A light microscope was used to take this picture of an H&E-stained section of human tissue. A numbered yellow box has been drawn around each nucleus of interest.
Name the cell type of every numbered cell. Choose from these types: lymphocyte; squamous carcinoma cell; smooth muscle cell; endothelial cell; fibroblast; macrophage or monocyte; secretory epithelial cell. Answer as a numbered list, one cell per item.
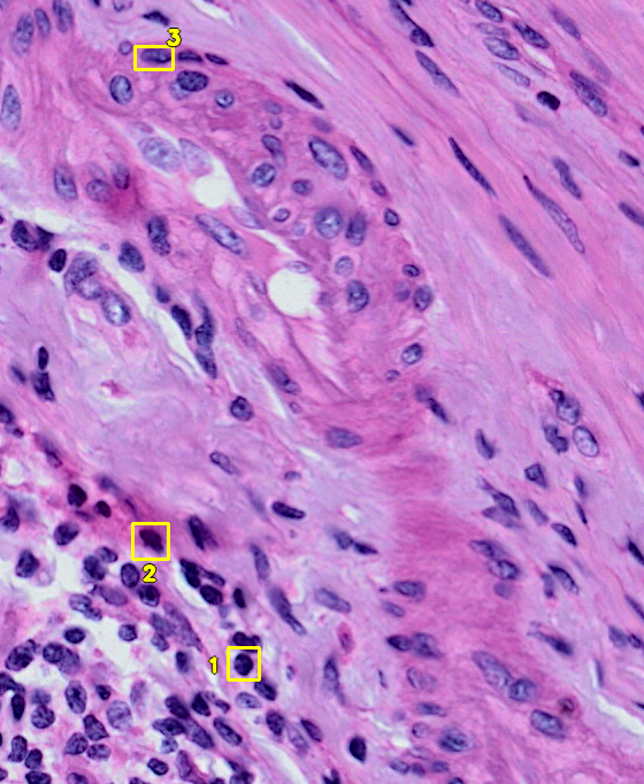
1. lymphocyte
2. lymphocyte
3. smooth muscle cell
